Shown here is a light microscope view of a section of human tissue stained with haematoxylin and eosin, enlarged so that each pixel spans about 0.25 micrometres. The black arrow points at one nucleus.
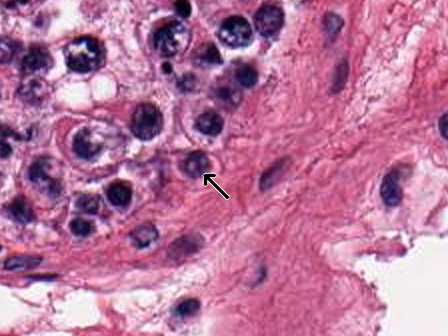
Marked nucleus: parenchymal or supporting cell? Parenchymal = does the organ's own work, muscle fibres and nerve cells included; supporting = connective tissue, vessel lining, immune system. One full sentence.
This marked nucleus is part of a parenchymal cell, namely a spermatogonium.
